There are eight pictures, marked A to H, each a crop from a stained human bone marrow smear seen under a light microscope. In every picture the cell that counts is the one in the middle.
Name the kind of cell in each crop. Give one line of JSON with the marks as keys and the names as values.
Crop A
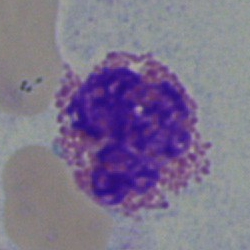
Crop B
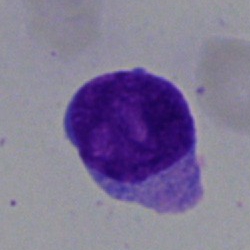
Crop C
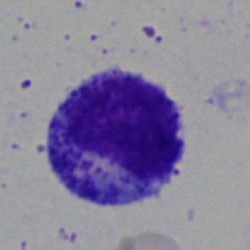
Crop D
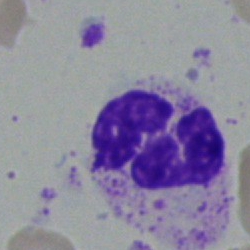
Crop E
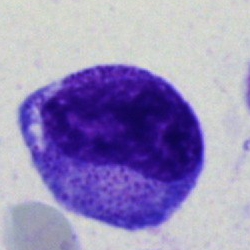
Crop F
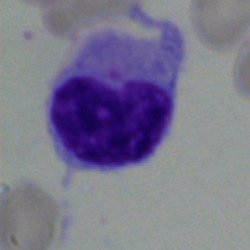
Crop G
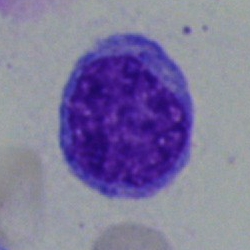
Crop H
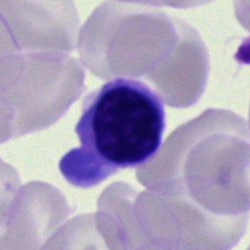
{"A": "eosinophil", "B": "blast", "C": "promyelocyte", "D": "basophil", "E": "myelocyte", "F": "hairy cell", "G": "blast", "H": "erythroblast"}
